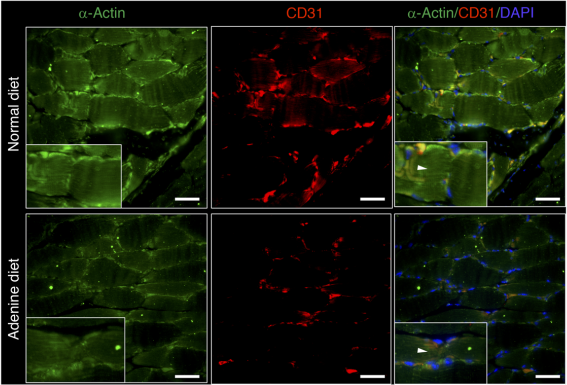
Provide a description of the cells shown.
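This is skeletal muscle with broad myocytes lying side by side, their green staining filling the fibers and showing faint lines across them. Between the fibers run irregular red strands, the small vessels of the muscle. Blue nuclei lie scattered along the fiber margins and beside the red strands. In the upper row the red strands are plentiful and branching; in the lower row they are sparse and short.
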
